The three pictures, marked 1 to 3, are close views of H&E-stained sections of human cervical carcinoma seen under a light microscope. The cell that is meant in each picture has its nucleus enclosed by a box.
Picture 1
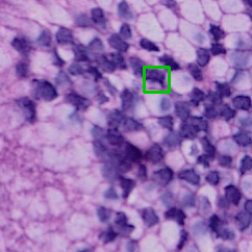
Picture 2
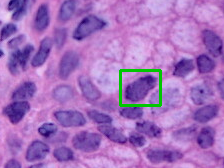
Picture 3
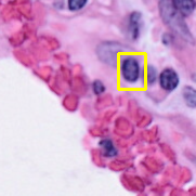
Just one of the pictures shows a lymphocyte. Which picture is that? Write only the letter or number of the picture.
3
